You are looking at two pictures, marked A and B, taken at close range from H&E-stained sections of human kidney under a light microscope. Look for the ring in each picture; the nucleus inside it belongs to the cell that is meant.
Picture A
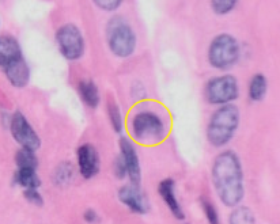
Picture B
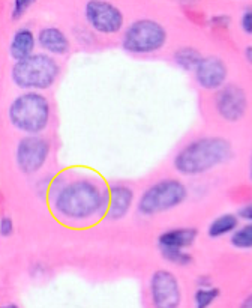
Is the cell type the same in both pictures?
yes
